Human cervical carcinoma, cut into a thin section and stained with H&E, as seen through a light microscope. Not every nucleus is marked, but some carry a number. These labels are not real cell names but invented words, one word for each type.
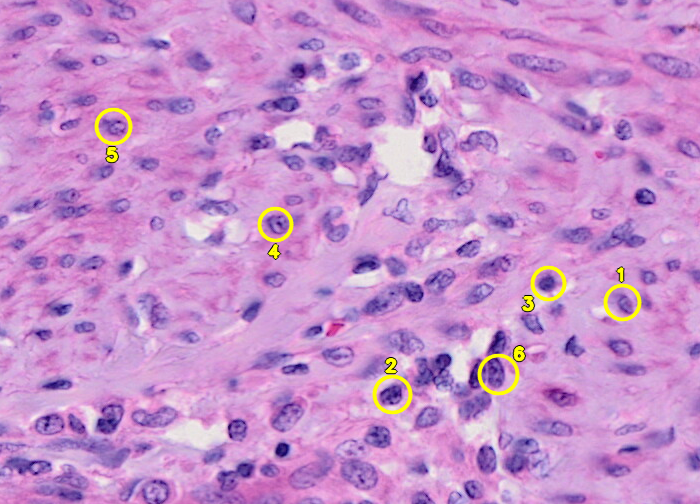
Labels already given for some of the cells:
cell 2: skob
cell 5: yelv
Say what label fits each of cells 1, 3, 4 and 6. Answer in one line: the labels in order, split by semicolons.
yelv; skob; yelv; skob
